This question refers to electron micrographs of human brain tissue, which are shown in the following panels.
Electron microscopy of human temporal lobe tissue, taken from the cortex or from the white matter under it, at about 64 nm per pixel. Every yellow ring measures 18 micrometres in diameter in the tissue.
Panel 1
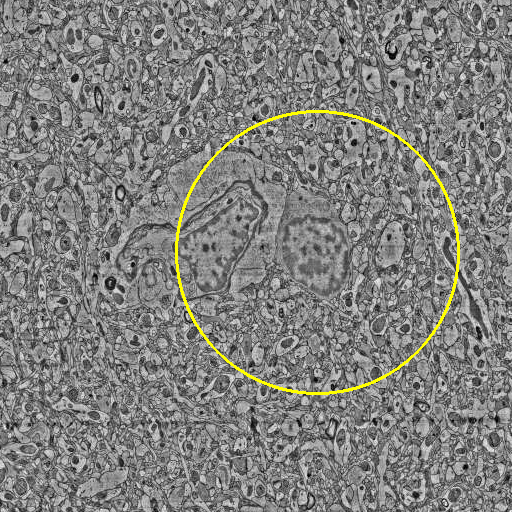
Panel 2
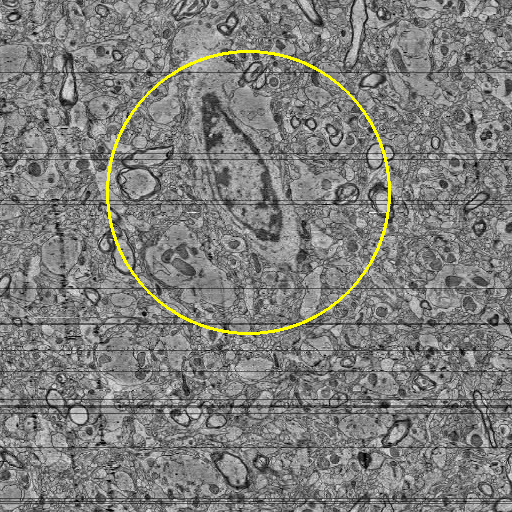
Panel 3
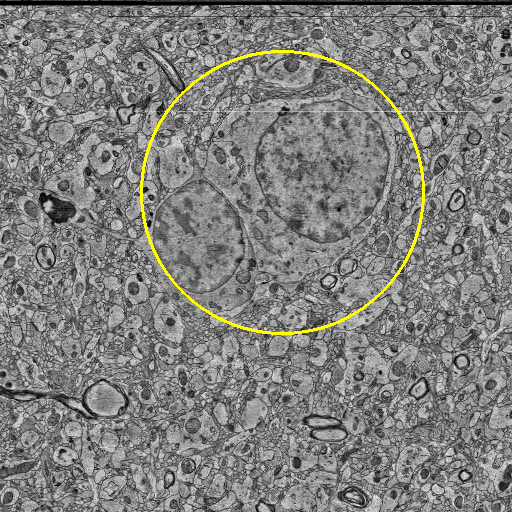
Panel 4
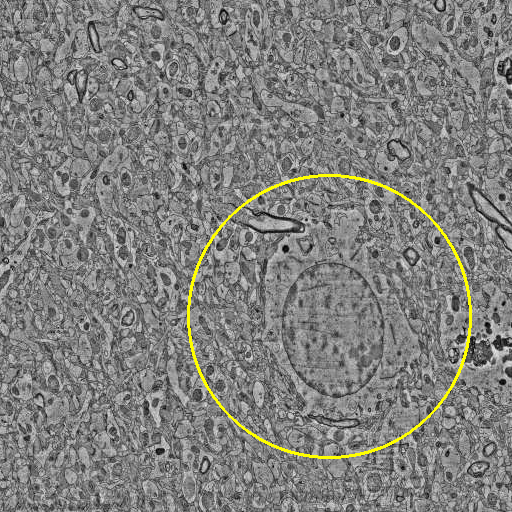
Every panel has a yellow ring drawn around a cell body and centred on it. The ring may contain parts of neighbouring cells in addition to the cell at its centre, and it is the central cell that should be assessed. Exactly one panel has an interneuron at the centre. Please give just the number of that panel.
3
